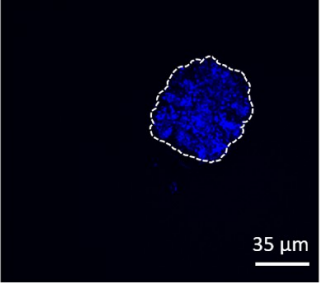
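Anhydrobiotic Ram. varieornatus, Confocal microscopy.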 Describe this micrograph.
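A whole contracted animal is shown as a small rounded body outlined by a white dashed line, densely packed with small round blue nuclei. The nuclei are crowded closely together across the entire compact body.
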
